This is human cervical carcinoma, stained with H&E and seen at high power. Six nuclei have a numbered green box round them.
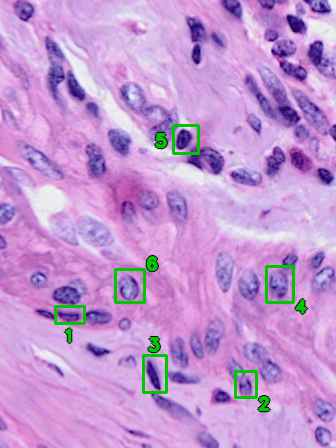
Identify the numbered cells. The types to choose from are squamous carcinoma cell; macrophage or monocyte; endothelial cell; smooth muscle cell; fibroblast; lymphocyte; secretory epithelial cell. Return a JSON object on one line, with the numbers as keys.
{"1": "smooth muscle cell", "2": "smooth muscle cell", "3": "fibroblast", "4": "smooth muscle cell", "5": "lymphocyte", "6": "smooth muscle cell"}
